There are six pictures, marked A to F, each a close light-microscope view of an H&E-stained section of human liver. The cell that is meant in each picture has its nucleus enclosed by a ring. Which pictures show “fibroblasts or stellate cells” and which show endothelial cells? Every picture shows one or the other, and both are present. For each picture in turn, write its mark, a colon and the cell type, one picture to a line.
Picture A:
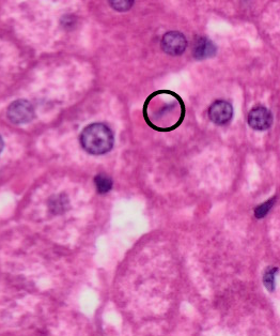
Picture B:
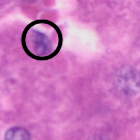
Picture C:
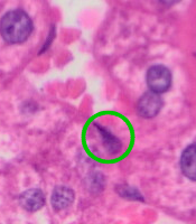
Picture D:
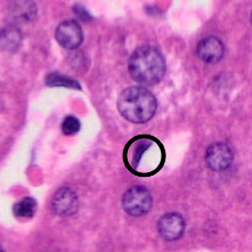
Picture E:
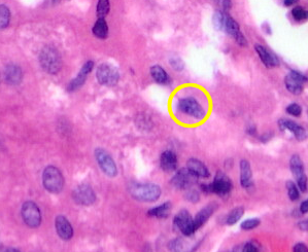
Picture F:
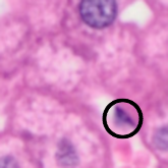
A: endothelial cell
B: endothelial cell
C: fibroblast or stellate cell
D: endothelial cell
E: fibroblast or stellate cell
F: endothelial cell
